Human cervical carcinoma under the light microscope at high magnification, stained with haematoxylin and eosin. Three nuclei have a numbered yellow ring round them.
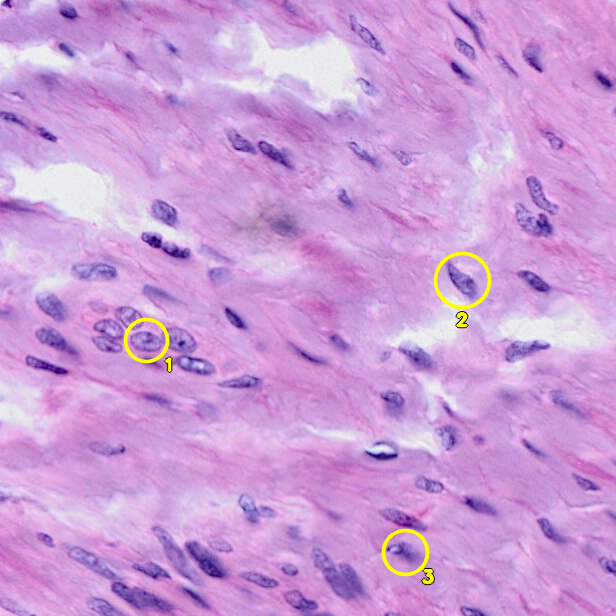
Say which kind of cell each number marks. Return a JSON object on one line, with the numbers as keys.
{"1": "endothelial cell", "2": "fibroblast", "3": "fibroblast"}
